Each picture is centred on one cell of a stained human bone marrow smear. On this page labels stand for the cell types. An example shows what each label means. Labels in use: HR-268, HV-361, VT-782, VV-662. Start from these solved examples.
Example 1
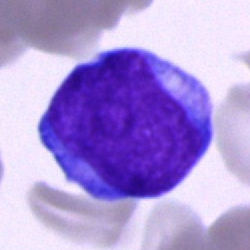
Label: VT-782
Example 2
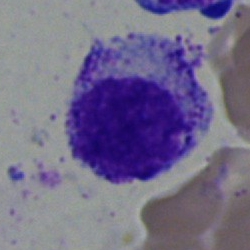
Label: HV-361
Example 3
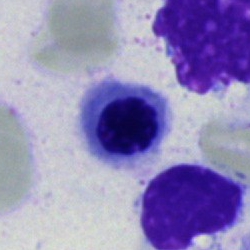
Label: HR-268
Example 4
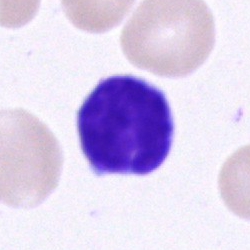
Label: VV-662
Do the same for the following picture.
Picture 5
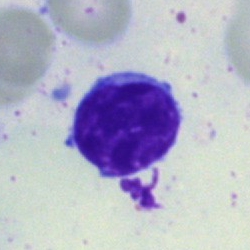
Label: VV-662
